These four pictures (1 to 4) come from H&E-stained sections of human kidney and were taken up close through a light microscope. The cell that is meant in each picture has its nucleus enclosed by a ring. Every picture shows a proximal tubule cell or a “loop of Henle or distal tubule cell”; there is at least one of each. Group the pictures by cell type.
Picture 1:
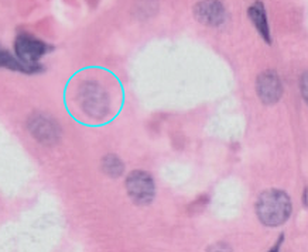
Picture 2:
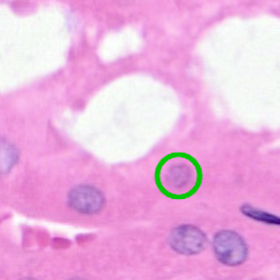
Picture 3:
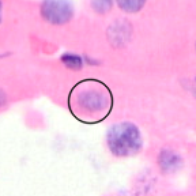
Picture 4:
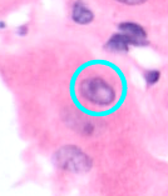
1: proximal tubule cell
2: proximal tubule cell
3: loop of Henle or distal tubule cell
4: proximal tubule cell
